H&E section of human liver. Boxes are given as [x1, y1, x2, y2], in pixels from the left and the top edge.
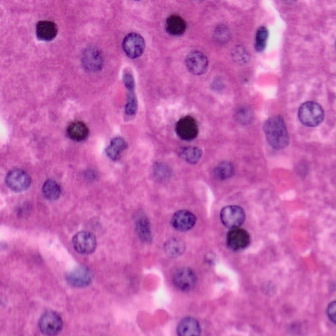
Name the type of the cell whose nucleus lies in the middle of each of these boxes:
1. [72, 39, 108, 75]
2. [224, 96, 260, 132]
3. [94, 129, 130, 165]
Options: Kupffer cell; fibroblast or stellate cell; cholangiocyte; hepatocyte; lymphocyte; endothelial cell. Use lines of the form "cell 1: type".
cell 1: hepatocyte
cell 2: hepatocyte
cell 3: Kupffer cell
